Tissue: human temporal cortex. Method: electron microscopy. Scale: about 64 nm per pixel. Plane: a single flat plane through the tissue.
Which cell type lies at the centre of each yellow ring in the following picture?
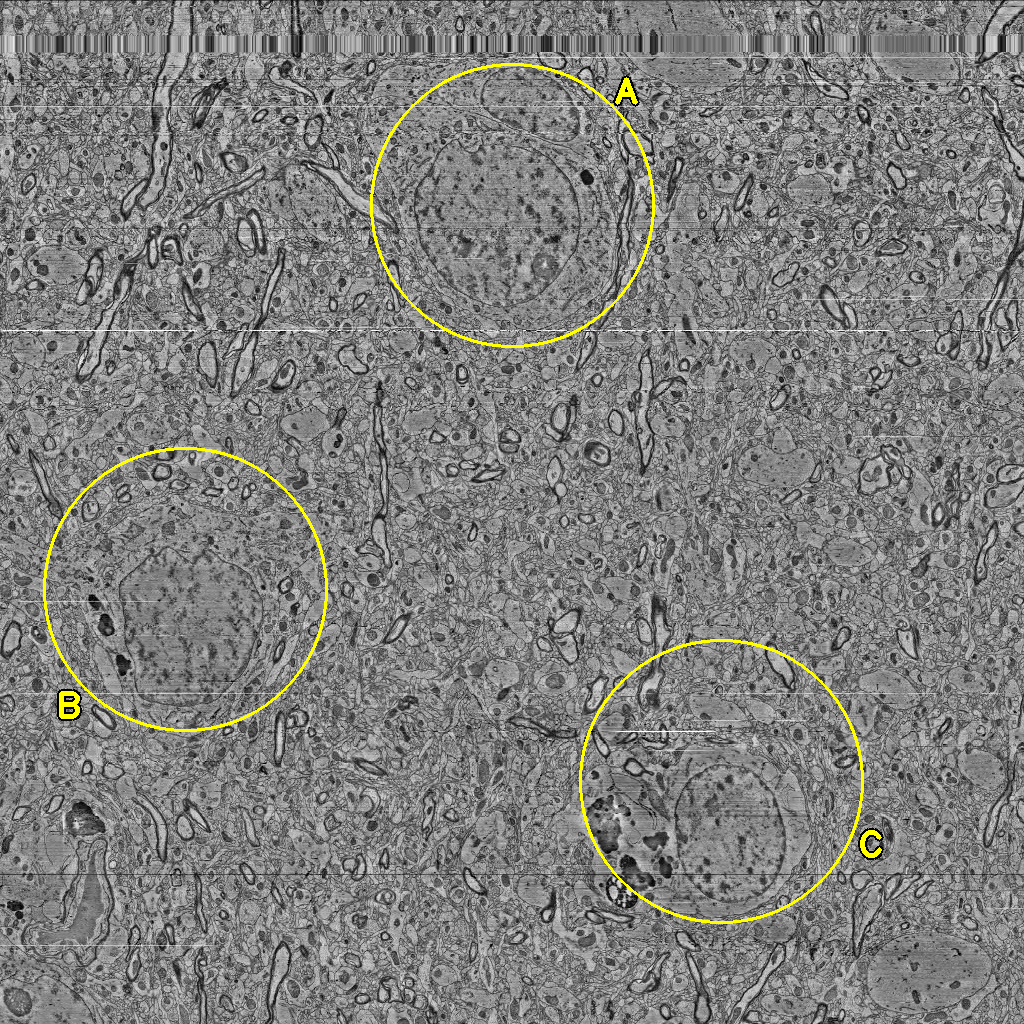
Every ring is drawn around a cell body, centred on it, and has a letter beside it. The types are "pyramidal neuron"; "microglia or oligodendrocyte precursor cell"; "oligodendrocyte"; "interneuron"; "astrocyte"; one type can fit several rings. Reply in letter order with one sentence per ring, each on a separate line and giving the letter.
Ring A marks the cell body of an interneuron.
Ring B marks the cell body of a pyramidal neuron.
Ring C marks the cell body of an astrocyte.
